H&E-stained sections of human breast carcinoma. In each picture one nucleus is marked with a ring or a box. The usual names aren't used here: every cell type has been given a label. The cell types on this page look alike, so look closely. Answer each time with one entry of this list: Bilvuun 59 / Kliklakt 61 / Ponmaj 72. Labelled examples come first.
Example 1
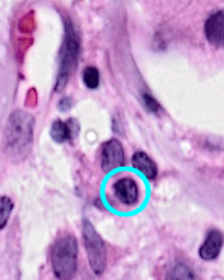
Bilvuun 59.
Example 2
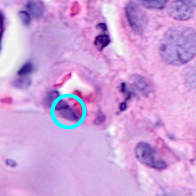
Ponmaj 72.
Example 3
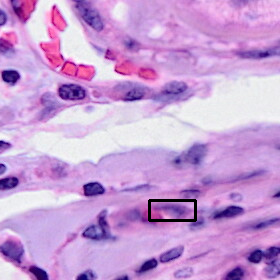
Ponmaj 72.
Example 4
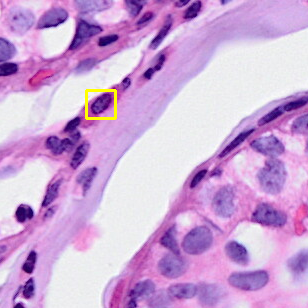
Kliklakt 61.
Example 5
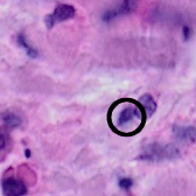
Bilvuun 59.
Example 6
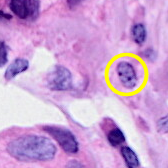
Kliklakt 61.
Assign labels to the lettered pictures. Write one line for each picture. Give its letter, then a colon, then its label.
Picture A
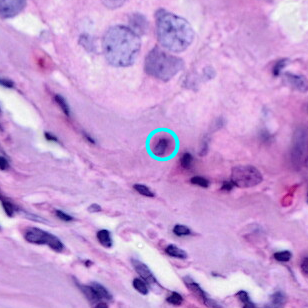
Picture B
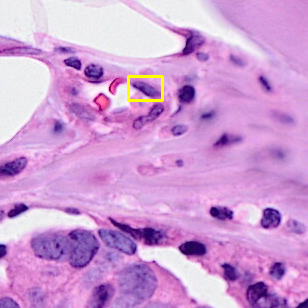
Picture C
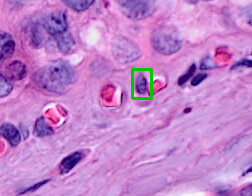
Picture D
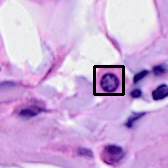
A: Kliklakt 61.
B: Ponmaj 72.
C: Ponmaj 72.
D: Kliklakt 61.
